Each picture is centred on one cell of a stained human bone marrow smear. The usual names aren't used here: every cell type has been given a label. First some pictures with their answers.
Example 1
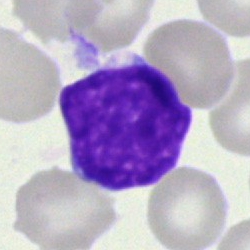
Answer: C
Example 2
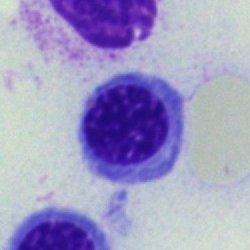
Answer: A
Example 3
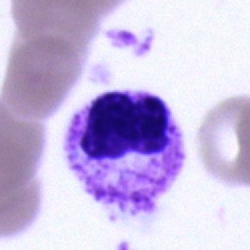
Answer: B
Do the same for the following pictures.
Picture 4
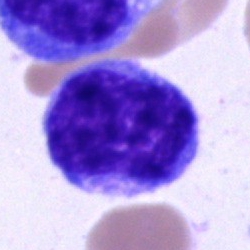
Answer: C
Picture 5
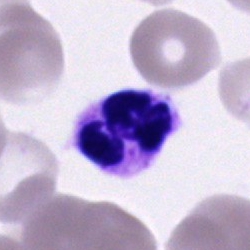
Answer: B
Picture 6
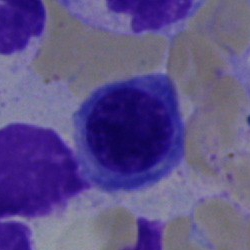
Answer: A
